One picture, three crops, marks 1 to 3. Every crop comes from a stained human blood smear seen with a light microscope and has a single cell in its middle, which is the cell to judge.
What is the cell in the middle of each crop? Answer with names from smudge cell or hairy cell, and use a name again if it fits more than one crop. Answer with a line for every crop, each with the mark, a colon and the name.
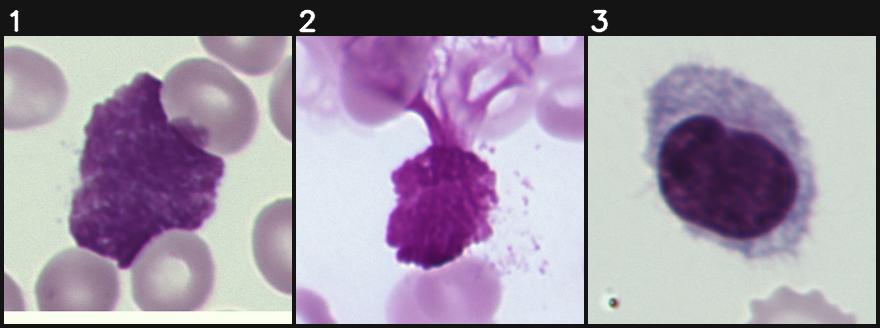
1: smudge cell
2: smudge cell
3: hairy cell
